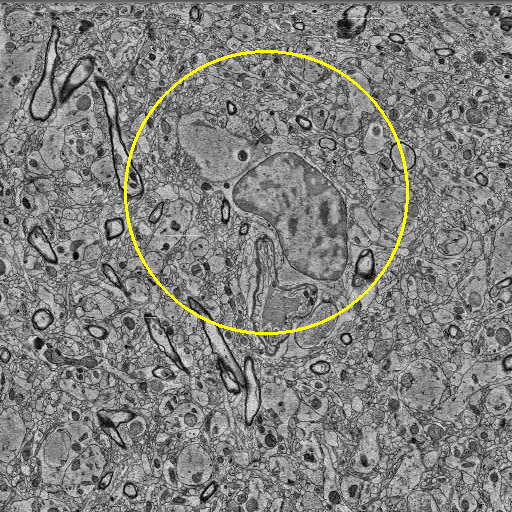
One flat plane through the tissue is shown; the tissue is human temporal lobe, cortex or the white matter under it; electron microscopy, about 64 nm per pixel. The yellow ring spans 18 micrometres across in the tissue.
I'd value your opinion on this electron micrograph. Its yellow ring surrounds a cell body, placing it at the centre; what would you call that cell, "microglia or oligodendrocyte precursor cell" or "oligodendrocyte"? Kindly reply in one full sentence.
It is a microglial cell or oligodendrocyte precursor cell that sits centred within the yellow ring in this micrograph.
